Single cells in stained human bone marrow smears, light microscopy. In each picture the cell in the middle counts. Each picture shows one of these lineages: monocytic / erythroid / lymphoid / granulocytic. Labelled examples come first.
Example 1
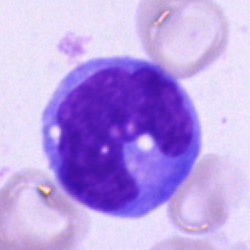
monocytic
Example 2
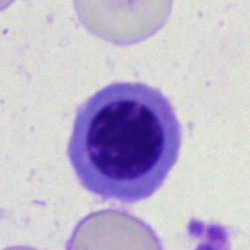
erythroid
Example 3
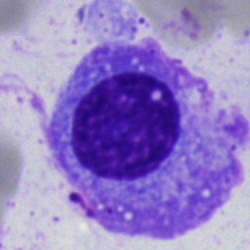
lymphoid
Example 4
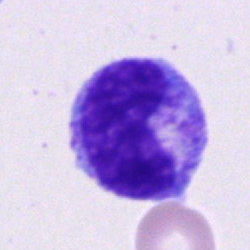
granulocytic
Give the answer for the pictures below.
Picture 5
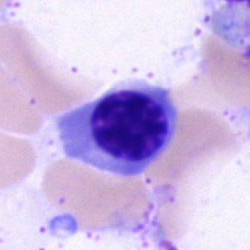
erythroid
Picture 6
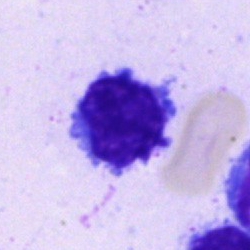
lymphoid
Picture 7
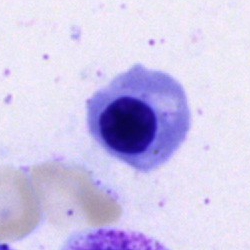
erythroid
